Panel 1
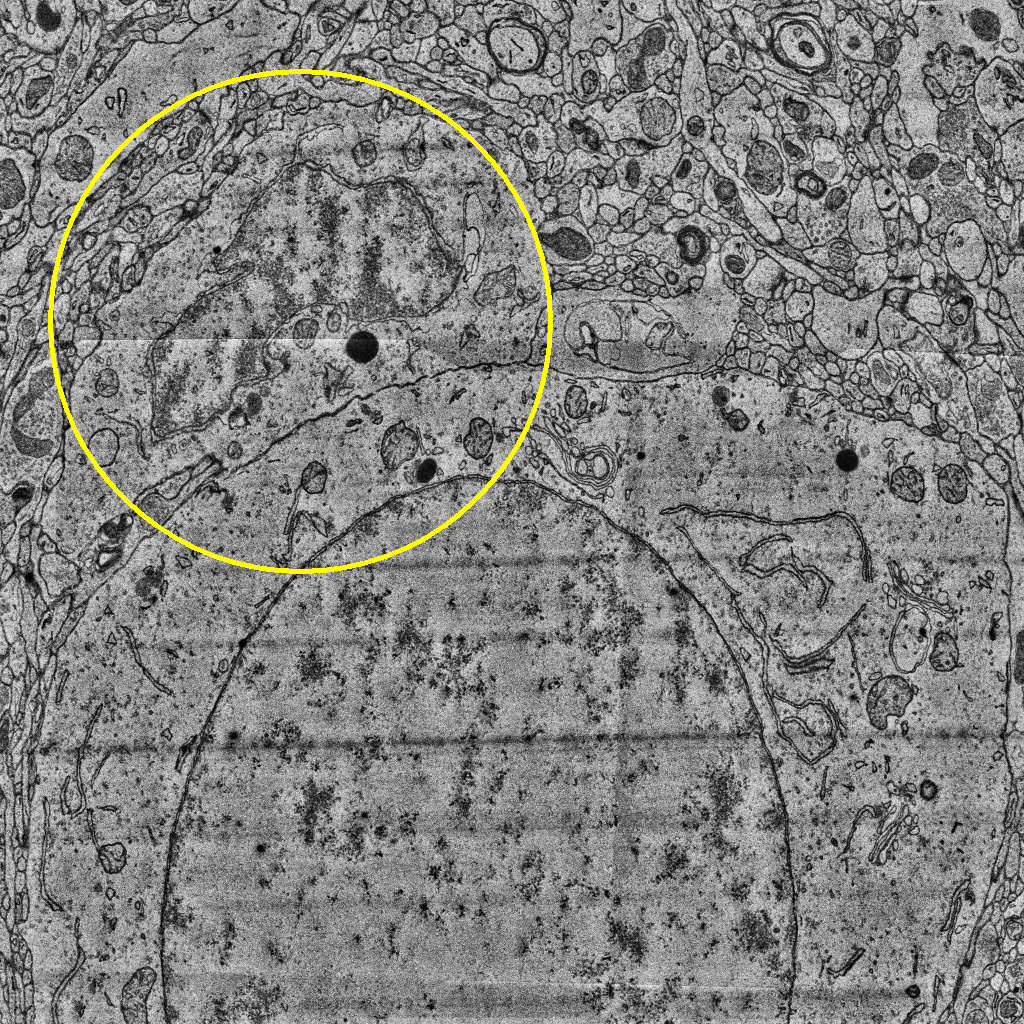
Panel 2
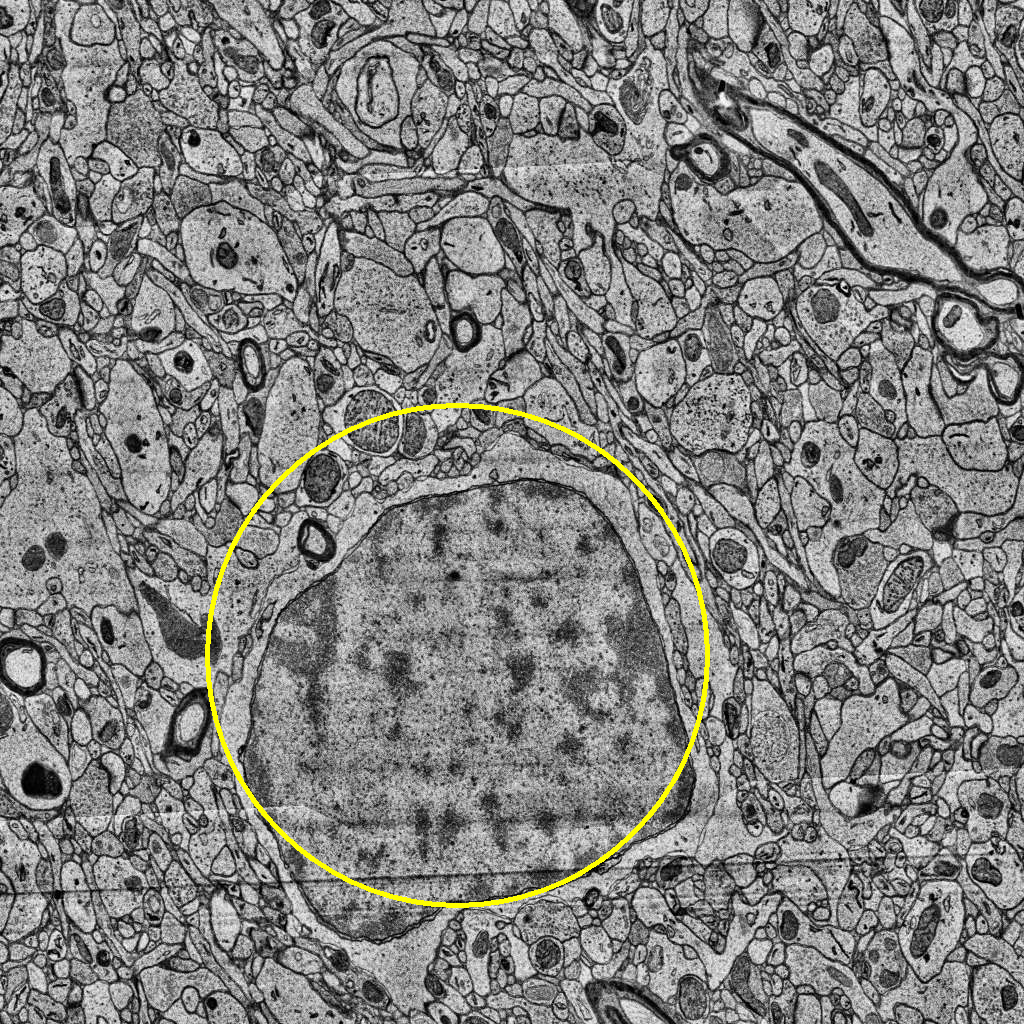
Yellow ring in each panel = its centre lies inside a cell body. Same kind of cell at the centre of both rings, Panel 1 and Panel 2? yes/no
no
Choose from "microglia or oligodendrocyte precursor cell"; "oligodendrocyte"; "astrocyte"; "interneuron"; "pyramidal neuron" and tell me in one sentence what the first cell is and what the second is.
So the first is an interneuron, the second a microglial cell or oligodendrocyte precursor cell.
